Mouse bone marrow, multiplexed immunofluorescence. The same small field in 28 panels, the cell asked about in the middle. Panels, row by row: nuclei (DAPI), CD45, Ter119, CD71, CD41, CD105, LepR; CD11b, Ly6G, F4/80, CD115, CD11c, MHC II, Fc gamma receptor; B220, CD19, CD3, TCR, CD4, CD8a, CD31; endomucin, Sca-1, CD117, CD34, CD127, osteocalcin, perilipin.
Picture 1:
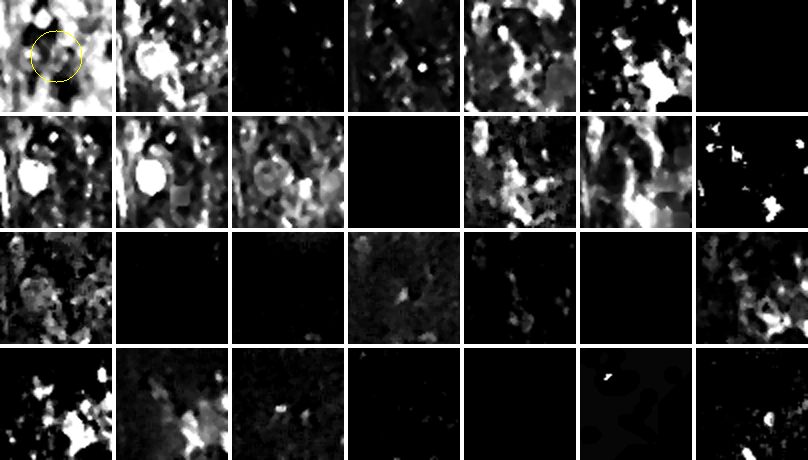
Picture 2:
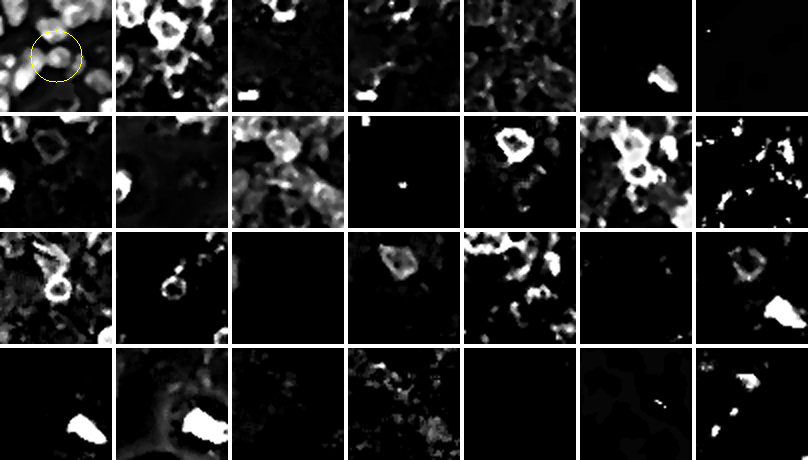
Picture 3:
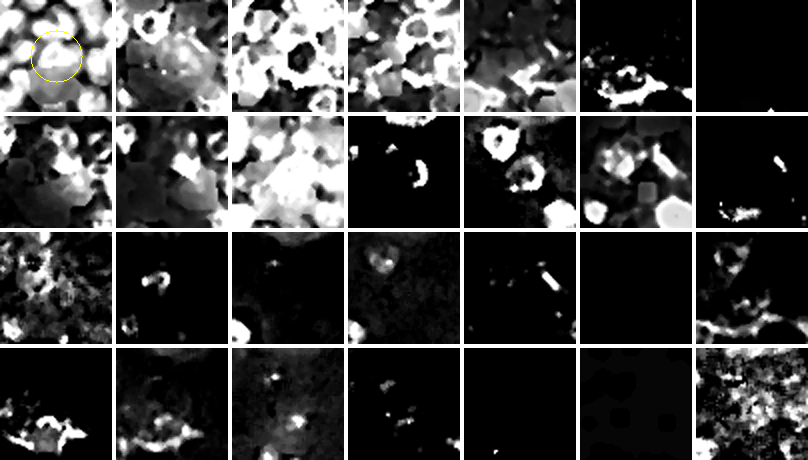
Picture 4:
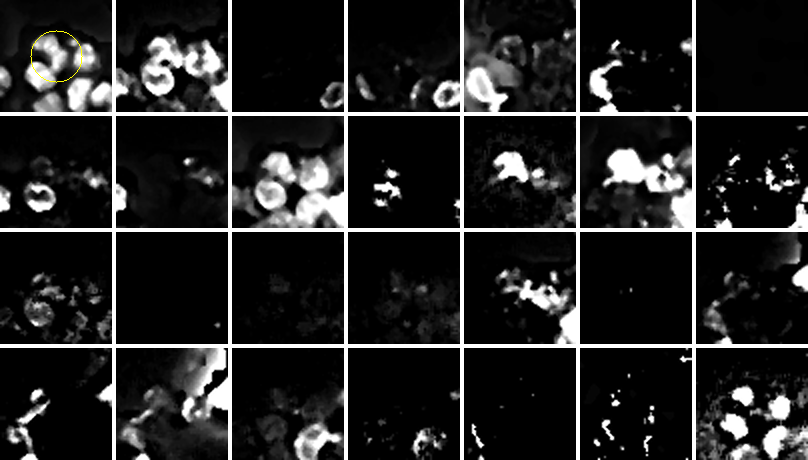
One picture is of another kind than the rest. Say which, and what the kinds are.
Picture 2 shows a B cell; the rest show conventional dendritic cells.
